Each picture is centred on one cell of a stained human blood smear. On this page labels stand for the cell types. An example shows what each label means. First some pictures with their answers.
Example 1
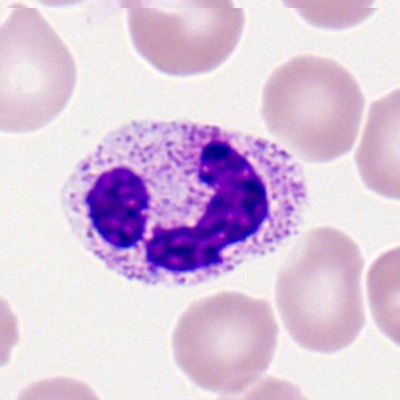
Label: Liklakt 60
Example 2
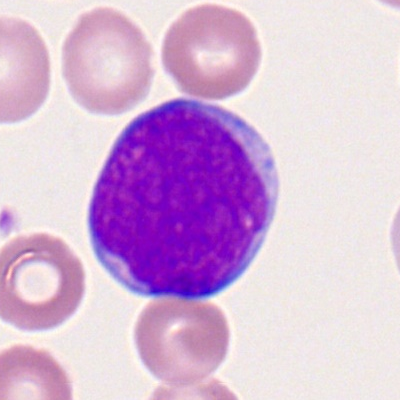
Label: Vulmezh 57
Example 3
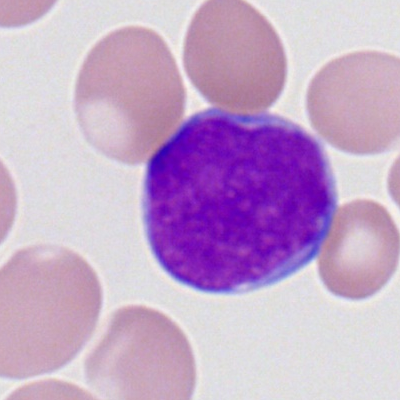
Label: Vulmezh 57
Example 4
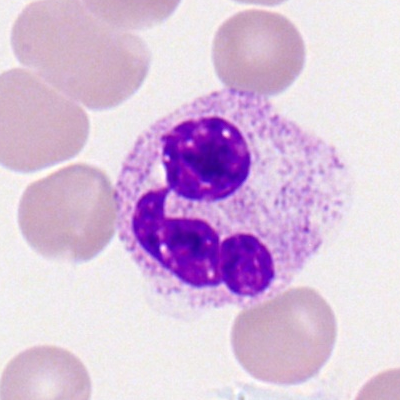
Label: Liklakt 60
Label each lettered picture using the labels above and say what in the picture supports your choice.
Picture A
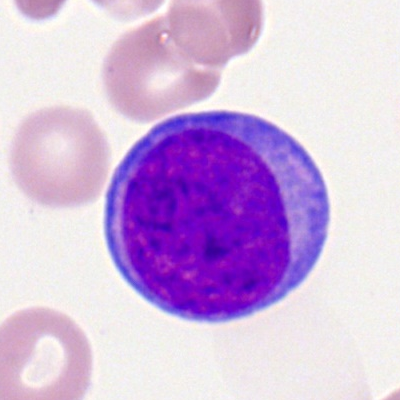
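Label: Vulmezh 57. The cytoplasm is a deep blue rim that is widest on the right side.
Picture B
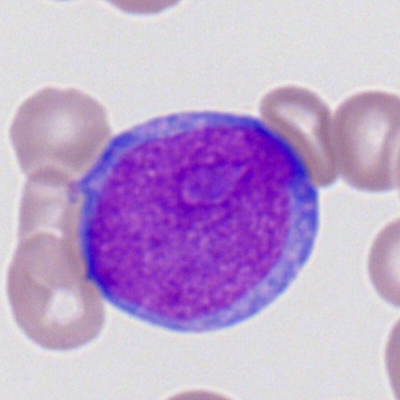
Label: Vulmezh 57. The cytoplasm is a thin rim of deep blue.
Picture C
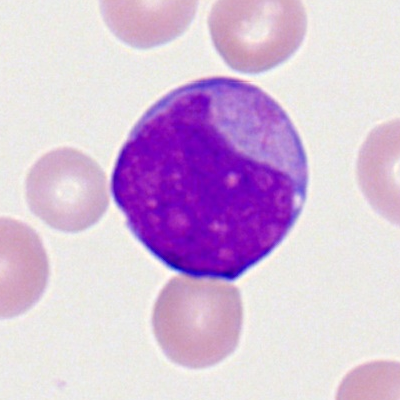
Label: Vulmezh 57. The nucleus fills most of the cell, leaving the cytoplasm mainly as a crescent at the upper right.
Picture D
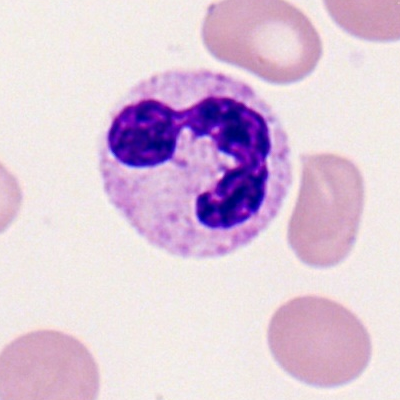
Label: Liklakt 60. The cytoplasm is plentiful and pale pink-lilac.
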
